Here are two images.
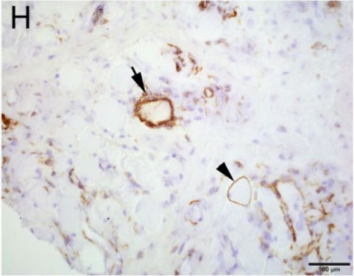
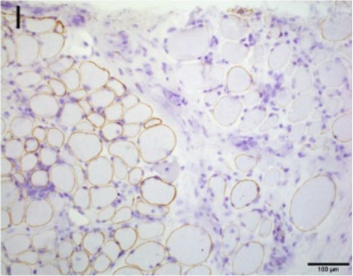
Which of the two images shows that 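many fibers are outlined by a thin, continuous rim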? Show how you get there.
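The second image. Second image: many fibers across the field have thin continuous brown rims. First image: only a few fibers show a brown rim; most brown lies between fibers.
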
